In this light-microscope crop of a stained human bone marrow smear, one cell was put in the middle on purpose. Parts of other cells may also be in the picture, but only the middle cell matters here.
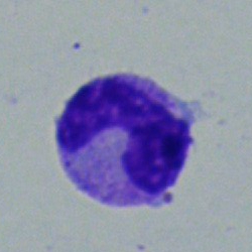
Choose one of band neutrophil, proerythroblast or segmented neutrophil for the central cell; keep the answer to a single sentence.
In the centre of this crop there is a band neutrophil.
